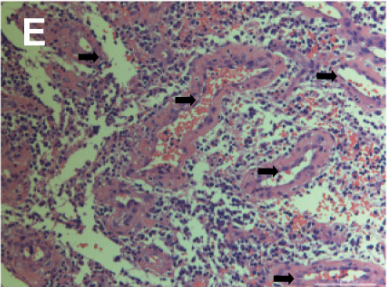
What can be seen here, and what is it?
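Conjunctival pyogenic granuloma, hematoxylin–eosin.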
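Granulation tissue dominated by numerous capillaries with open lumina lined by plump endothelial cells with pink cytoplasm. Red blood cells fill many lumina and also lie scattered in the stroma. The spaces between the vessels are packed with small dark round nuclei of inflammatory cells.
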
